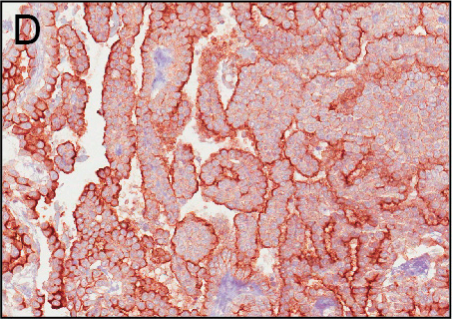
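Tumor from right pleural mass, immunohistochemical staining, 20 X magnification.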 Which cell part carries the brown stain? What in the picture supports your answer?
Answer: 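Brown stain sharply outlines the borders of neighbouring cells. A paler brown tint fills the cell bodies within the outlines. Nearly all tumor cells in the field carry the brown stain. That points to this answer: membranous and cytoplasmic.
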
